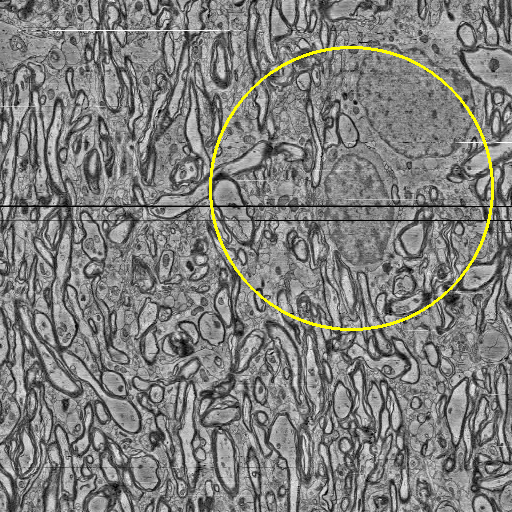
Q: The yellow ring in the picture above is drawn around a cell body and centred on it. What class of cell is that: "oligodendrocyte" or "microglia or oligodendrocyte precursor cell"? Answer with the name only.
oligodendrocyte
